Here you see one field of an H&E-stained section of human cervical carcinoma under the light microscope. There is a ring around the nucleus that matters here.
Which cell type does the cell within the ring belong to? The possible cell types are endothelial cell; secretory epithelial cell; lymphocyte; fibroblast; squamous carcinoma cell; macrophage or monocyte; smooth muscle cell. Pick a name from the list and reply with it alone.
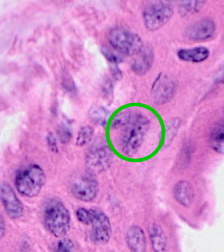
squamous carcinoma cell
